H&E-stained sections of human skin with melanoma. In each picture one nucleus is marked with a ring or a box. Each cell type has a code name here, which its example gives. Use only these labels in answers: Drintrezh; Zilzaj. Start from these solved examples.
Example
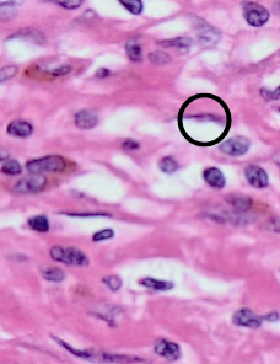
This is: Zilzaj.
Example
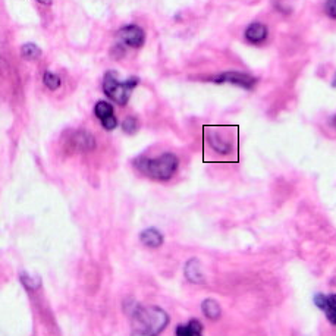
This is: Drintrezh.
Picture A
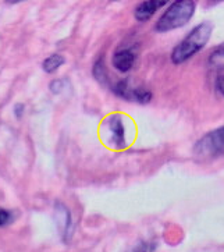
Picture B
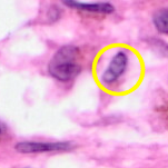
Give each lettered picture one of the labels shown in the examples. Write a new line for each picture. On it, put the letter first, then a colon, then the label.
A: Zilzaj.
B: Drintrezh.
